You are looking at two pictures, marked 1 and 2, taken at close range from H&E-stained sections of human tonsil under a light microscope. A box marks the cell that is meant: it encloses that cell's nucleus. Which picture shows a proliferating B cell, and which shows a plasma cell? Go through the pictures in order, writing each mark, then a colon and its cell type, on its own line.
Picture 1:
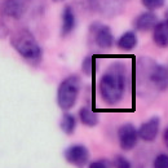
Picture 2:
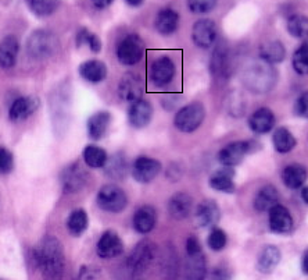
1: proliferating B cell
2: plasma cell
